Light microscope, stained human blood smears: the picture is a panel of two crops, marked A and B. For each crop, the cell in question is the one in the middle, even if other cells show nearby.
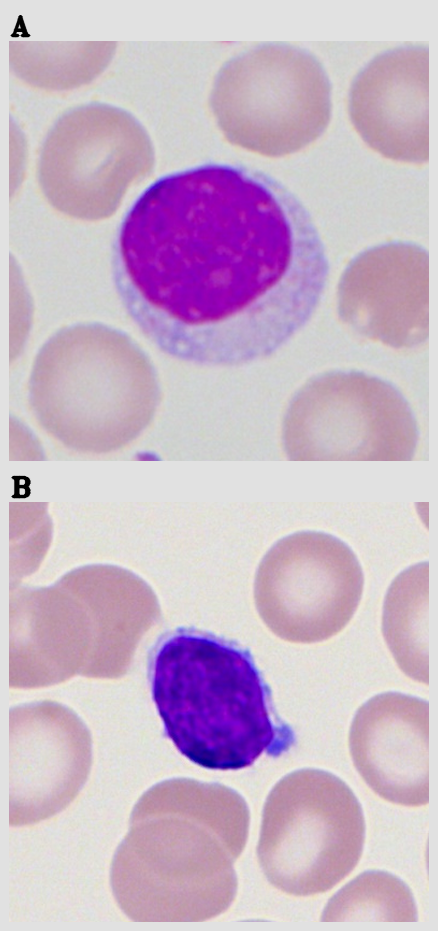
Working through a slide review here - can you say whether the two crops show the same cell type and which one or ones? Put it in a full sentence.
Yes, the two crops share the same answer, lymphocytes.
